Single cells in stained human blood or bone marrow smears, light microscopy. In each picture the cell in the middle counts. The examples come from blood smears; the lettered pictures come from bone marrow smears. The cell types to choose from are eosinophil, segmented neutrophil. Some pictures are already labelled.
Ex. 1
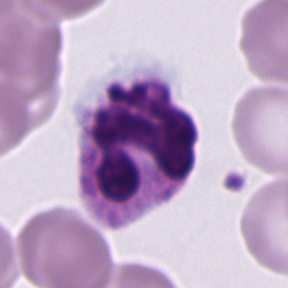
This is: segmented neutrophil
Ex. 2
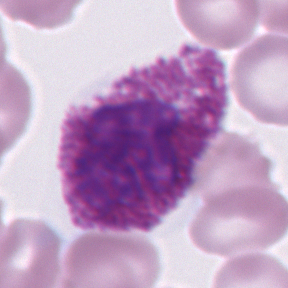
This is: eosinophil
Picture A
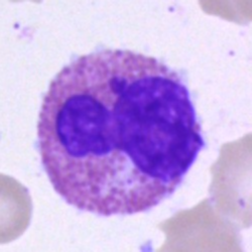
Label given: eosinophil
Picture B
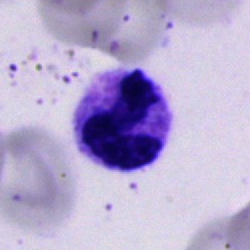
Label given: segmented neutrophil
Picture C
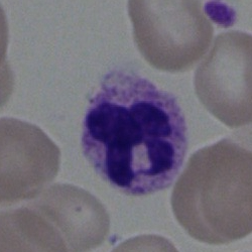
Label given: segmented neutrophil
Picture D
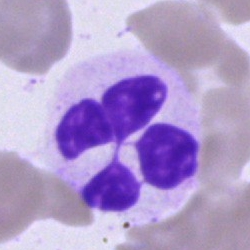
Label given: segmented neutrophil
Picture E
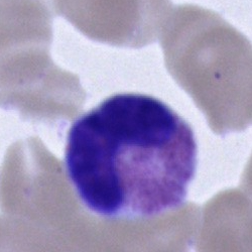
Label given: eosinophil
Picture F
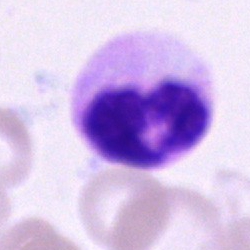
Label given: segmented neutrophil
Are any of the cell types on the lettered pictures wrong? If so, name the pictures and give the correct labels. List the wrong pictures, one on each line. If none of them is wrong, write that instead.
All correct.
